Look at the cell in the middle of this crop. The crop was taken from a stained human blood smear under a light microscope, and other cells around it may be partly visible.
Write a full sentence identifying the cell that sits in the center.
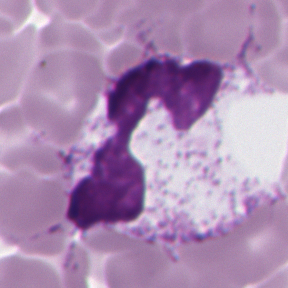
The target cell in the middle of the crop is a segmented neutrophil.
